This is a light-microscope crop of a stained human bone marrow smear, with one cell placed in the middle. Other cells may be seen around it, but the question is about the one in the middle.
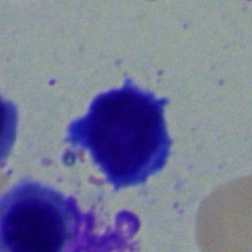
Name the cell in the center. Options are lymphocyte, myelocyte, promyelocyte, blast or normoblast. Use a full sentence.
Framed in the middle of the crop is a lymphocyte.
